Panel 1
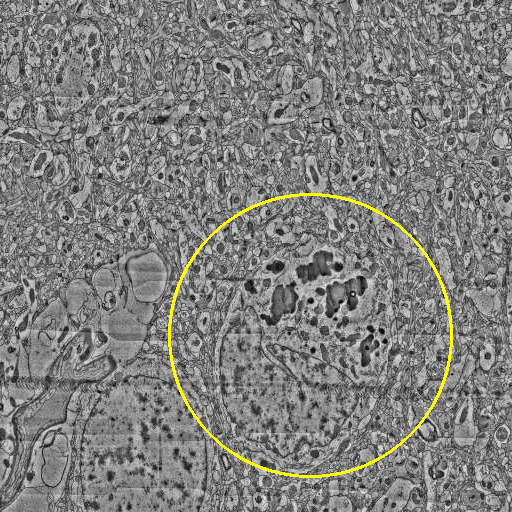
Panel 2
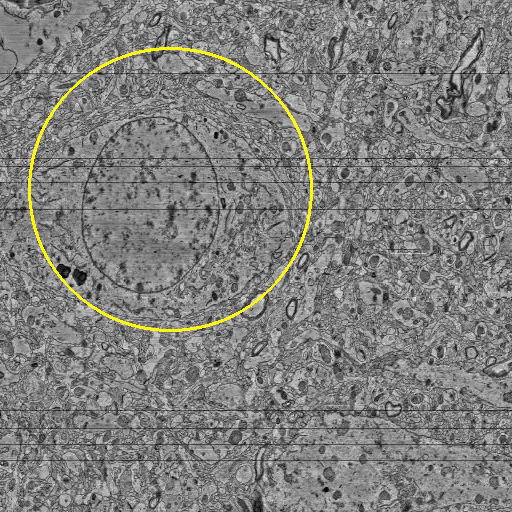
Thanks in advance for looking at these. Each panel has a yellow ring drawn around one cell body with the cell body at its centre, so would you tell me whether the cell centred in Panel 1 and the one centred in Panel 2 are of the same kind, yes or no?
no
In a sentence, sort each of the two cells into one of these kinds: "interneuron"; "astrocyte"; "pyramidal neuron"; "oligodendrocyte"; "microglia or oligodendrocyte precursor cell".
The first of the two cells is an interneuron, and the second is a pyramidal neuron.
